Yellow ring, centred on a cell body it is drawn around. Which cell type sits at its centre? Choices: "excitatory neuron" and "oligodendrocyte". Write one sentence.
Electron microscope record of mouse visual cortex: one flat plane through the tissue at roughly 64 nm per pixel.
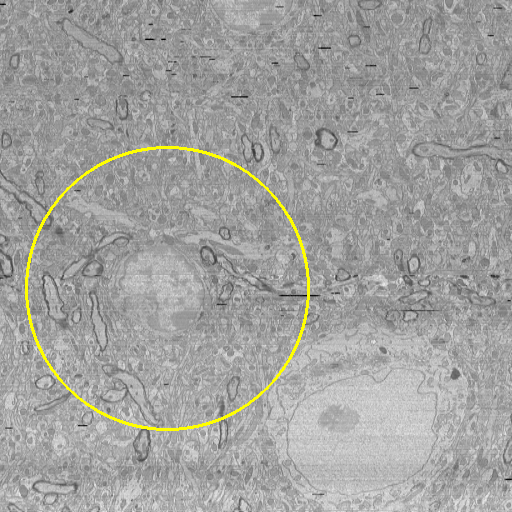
At the centre of the ring sits an oligodendrocyte.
